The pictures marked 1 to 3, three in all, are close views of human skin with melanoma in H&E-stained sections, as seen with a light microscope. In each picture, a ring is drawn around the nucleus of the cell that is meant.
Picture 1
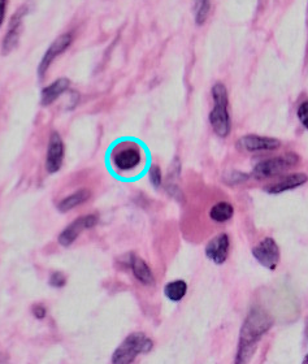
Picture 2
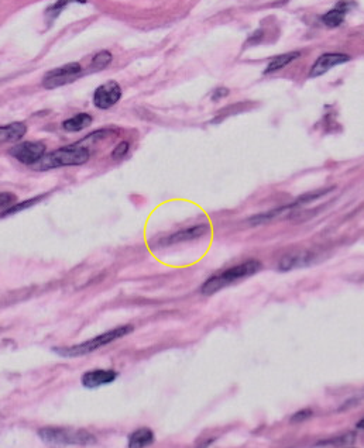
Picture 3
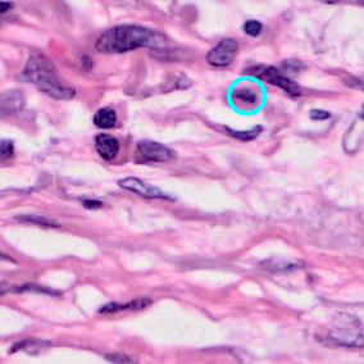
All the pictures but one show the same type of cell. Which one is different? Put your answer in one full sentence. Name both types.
All pictures except 2 show plasma cells; picture 2 shows a “macrophage or monocyte”.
